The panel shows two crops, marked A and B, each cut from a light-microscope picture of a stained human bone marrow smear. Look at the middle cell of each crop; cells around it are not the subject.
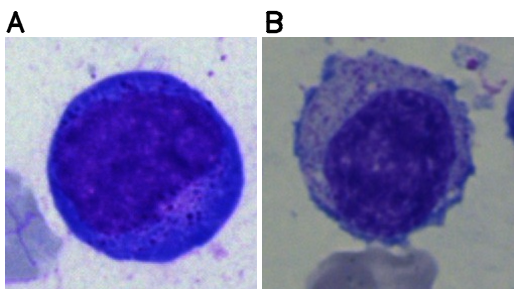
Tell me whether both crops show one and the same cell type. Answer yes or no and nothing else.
no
